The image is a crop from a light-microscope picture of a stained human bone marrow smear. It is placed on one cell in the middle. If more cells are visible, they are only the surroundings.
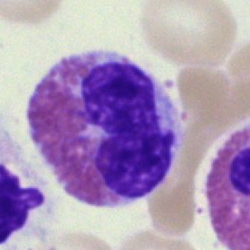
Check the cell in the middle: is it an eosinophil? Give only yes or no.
yes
